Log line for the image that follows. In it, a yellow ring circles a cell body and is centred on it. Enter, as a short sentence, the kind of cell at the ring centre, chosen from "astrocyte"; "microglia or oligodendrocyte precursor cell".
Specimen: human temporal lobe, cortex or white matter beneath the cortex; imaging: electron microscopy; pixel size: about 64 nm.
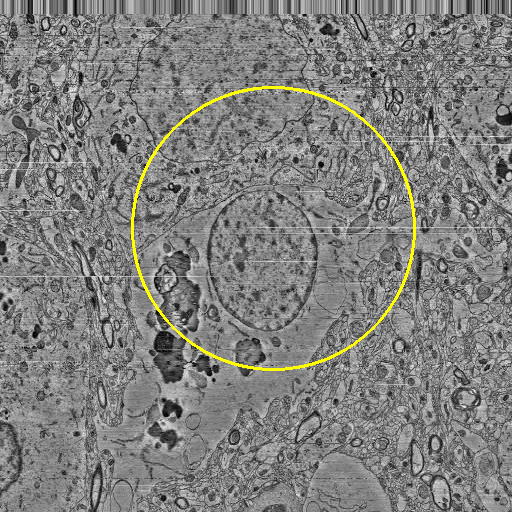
The ring centre is occupied by an astrocyte.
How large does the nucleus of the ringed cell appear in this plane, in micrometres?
The nucleus works out at approximately 9 by 7 micrometres in this plane.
